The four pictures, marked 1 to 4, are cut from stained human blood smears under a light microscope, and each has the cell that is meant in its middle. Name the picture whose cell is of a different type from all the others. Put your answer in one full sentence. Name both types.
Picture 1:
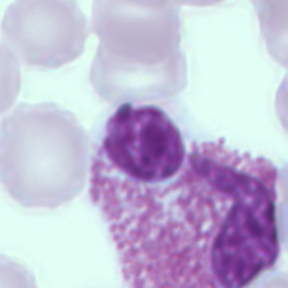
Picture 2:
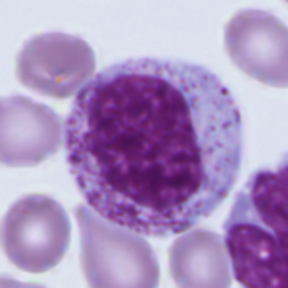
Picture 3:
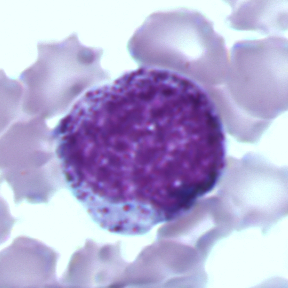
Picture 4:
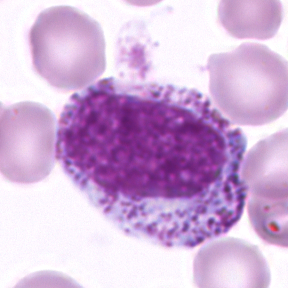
The different one is picture 1; it shows an eosinophil, whereas all the others show myelocytes.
